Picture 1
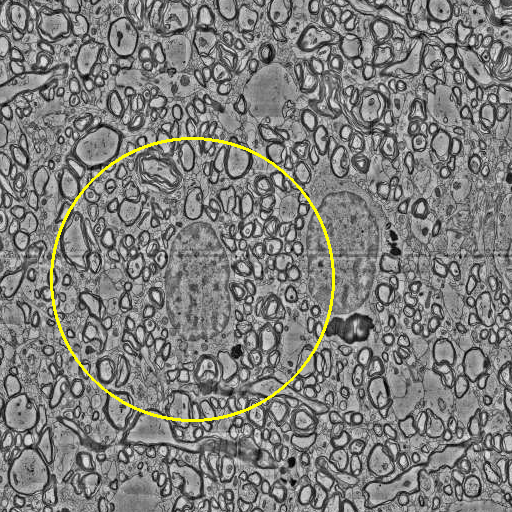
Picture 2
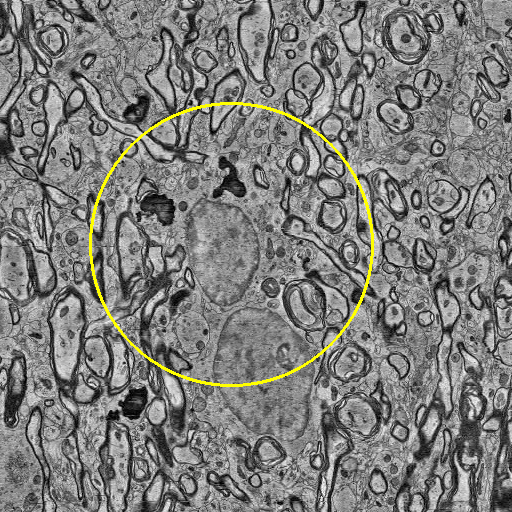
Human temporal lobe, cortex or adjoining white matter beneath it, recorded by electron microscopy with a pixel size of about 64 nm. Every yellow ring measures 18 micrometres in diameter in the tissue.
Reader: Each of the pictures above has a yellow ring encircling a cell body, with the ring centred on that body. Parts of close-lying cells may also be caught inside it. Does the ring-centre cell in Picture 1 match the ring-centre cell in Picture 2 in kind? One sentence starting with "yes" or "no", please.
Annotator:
Yes, Picture 1 and Picture 2 show ring-centre cells of a single kind.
